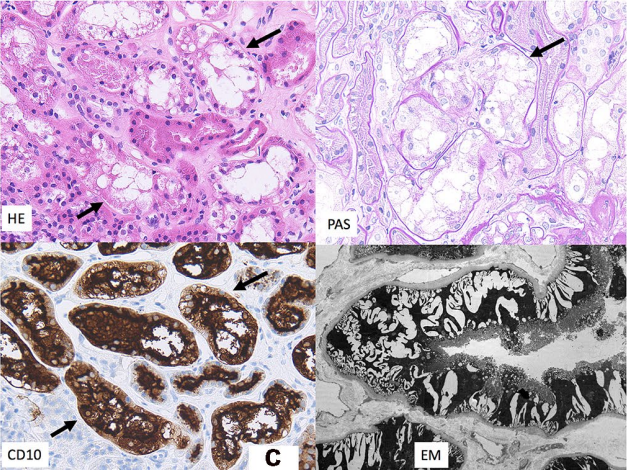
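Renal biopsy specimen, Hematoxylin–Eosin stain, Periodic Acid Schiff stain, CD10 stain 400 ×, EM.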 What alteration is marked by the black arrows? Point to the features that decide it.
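The arrowed tubular cells show pale, foamy to clear cytoplasm. In the electron micrograph the tubular cytoplasm is broken up by many pale clefts.
Hence: vacuolated.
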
